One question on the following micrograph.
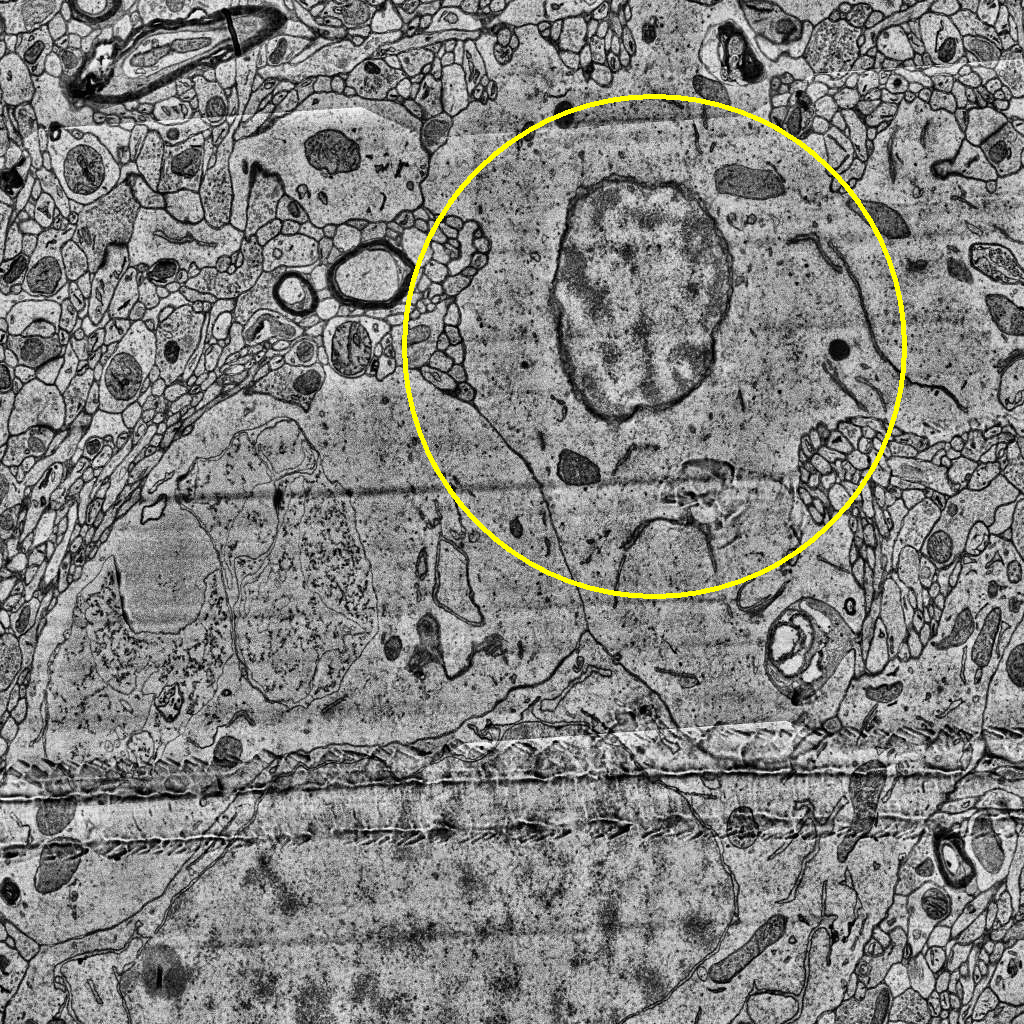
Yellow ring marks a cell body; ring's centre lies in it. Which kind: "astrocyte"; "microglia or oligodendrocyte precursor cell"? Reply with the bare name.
astrocyte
